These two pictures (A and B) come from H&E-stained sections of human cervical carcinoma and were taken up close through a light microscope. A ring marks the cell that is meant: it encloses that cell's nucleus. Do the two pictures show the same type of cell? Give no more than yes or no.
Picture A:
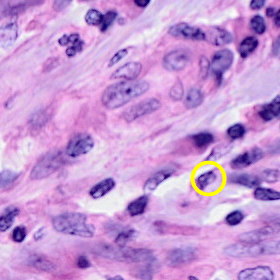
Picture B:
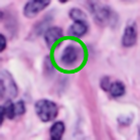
yes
